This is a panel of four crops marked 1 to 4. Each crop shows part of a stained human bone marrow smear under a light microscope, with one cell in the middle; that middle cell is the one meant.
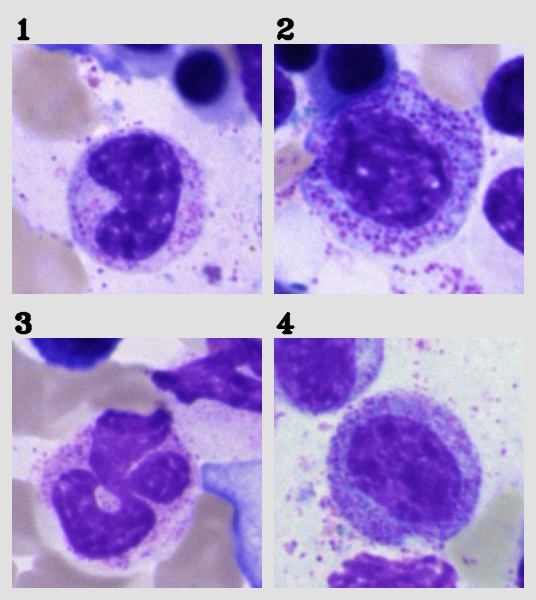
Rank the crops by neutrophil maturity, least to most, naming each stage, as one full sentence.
Sequenced by maturity, least first, the crops are crop 2 (a promyelocyte), crop 4 (a myelocyte), crop 1 (a metamyelocyte) and crop 3 (a segmented neutrophil).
